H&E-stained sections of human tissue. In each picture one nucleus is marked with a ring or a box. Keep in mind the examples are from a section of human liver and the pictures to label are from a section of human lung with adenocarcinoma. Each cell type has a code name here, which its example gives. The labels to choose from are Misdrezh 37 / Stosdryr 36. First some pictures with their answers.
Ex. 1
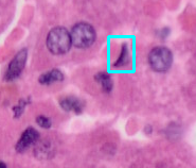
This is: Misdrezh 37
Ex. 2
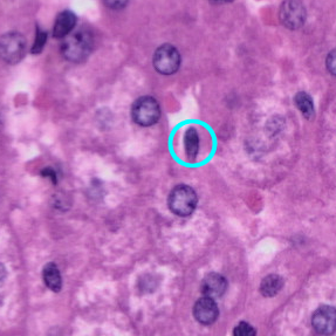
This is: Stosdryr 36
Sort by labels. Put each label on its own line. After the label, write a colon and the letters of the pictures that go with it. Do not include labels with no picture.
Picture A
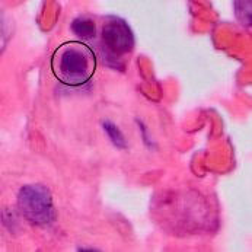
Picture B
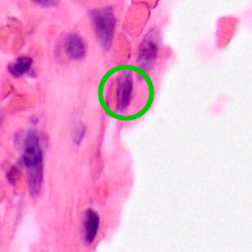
Misdrezh 37: B
Stosdryr 36: A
